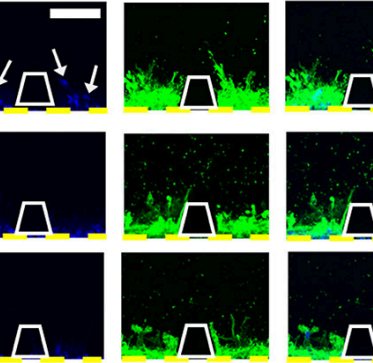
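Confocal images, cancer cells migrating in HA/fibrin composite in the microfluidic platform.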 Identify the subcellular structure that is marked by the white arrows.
nuclei of migrated tumor cell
